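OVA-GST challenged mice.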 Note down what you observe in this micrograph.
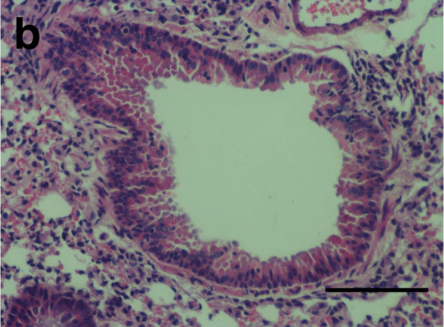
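Lung tissue centred on a large airway with a wide open lumen. The airway is lined by tall, closely packed columnar epithelial cells with dark, elongated nuclei and pink cytoplasm, forming a thick lining. The surrounding alveolar septa appear thickened and cell-rich.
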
